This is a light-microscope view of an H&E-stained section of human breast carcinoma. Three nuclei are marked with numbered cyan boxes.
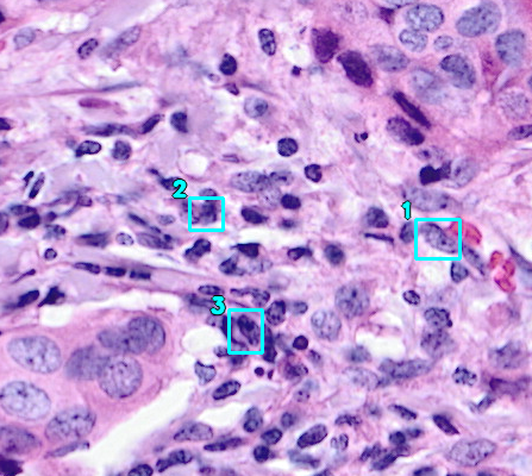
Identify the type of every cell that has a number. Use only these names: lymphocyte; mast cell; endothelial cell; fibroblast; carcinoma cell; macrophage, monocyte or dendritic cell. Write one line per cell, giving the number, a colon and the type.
1: endothelial cell
2: lymphocyte
3: lymphocyte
